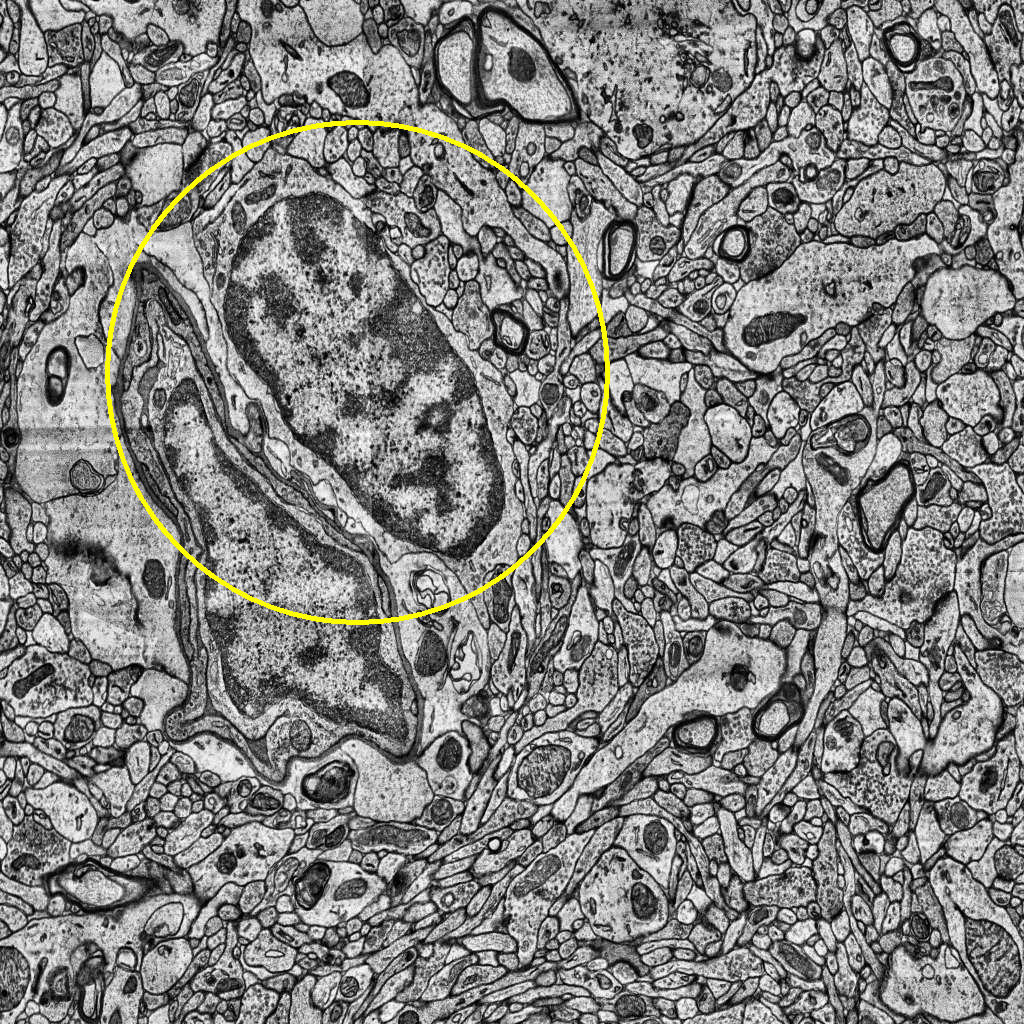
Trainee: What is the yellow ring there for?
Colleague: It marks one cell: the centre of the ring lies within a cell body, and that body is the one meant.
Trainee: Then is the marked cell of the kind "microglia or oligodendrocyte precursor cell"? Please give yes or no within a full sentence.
Yes, the marked cell at the centre of the yellow ring is of the kind asked about.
